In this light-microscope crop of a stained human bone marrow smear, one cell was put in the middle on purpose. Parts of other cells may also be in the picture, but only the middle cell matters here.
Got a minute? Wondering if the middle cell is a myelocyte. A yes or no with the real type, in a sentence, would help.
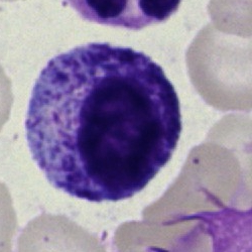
Yes, a myelocyte is what the central cell is.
